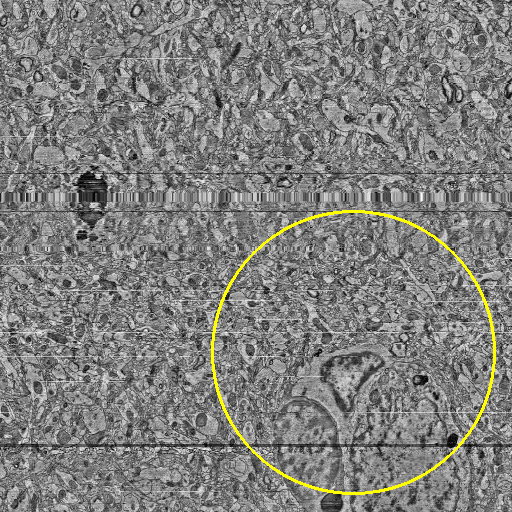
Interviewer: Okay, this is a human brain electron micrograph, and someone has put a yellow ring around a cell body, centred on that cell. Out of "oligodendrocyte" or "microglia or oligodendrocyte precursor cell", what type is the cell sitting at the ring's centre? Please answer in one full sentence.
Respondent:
The cell at the centre of the yellow ring in this picture is a microglial cell or oligodendrocyte precursor cell.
